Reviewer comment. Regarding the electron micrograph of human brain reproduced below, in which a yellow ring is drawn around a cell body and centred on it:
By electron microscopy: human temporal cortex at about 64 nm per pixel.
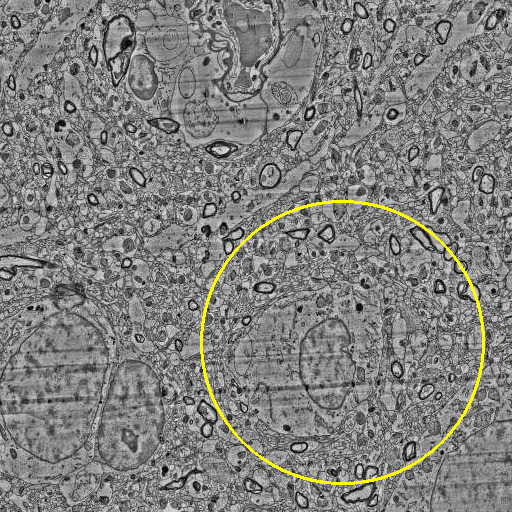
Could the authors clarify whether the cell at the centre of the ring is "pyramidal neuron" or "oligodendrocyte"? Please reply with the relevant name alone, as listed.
pyramidal neuron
